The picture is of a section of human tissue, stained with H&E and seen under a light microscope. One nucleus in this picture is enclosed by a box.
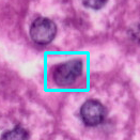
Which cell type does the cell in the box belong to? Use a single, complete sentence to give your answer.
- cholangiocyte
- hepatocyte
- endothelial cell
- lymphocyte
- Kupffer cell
On this particular slide, the cell in the box is a Kupffer cell.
